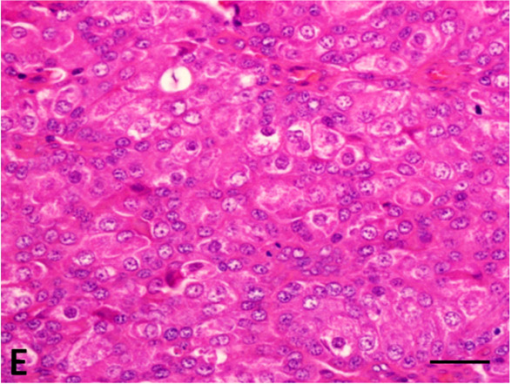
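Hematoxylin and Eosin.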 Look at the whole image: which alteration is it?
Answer: Anisokaryosis and anisocytosis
